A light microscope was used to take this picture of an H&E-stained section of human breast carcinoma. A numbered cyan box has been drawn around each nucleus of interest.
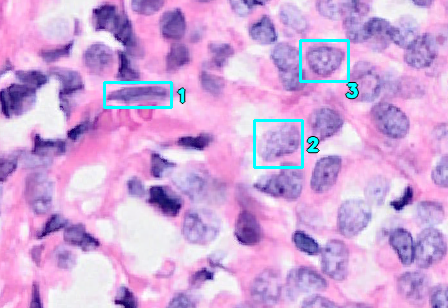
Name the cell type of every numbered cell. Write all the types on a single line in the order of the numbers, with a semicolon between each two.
endothelial cell; carcinoma cell; carcinoma cell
